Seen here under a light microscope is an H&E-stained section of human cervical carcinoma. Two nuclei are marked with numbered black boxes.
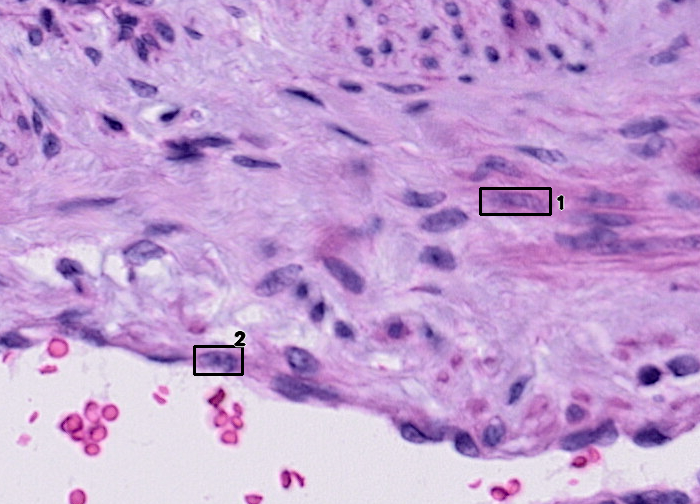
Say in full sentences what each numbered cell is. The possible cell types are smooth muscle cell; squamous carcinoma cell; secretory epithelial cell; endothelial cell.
Cell 1 is a smooth muscle cell. Cell 2 is an endothelial cell.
